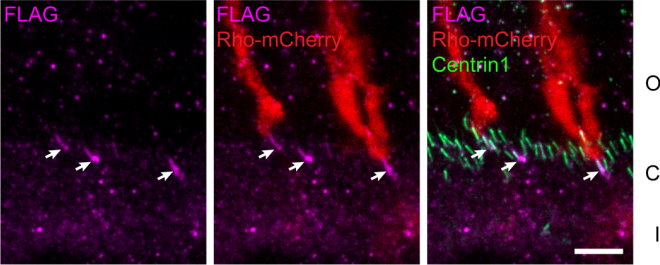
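This is the photoreceptor layer of a retina, showing rods at the junction of inner and outer segments, in three views of the same field. A row of short, slanted green rods lies in a band across the image, each marking a cilium joining inner to outer segment. Above it, a few long red columns rise as outer segments of labelled rods. Below lies the inner segment layer with faint diffuse magenta. White arrows point to bright magenta dots sitting at the base of the green cilia, directly beneath red outer segments, with some magenta extending along the cilium itself.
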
